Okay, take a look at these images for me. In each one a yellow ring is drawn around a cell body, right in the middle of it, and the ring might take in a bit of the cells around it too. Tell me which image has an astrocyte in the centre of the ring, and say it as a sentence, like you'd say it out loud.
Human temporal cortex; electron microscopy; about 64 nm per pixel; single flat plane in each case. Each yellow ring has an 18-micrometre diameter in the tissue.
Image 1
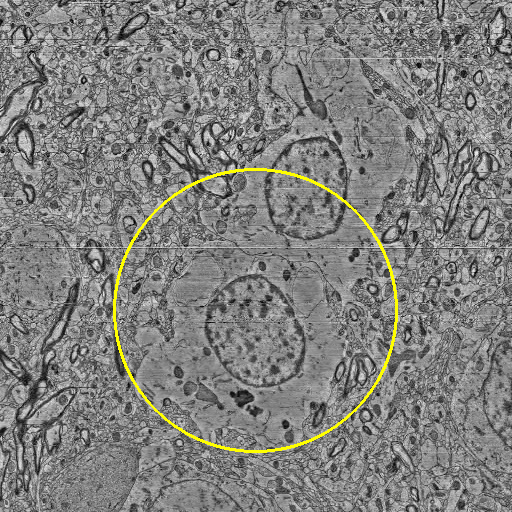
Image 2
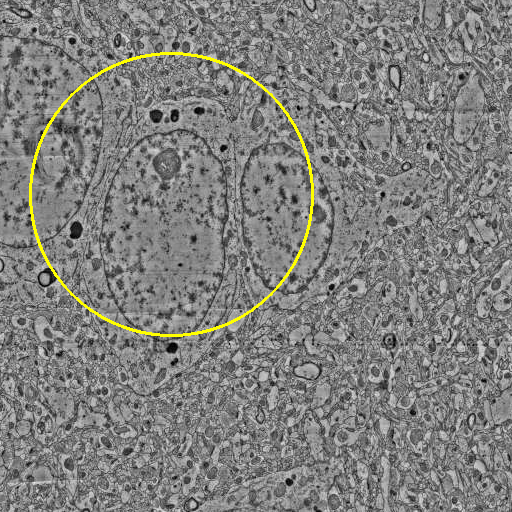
Image 1 is the one with it in the centre of the ring.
